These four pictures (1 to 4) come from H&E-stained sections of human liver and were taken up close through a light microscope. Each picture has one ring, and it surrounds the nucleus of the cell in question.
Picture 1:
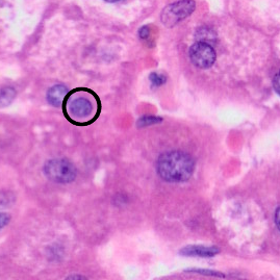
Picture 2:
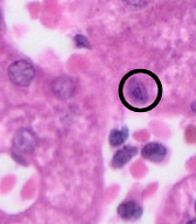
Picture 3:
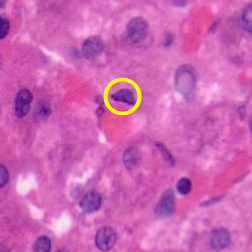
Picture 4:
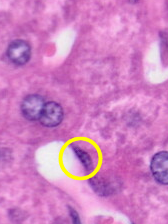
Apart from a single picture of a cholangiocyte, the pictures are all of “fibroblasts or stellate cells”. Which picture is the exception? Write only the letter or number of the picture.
1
